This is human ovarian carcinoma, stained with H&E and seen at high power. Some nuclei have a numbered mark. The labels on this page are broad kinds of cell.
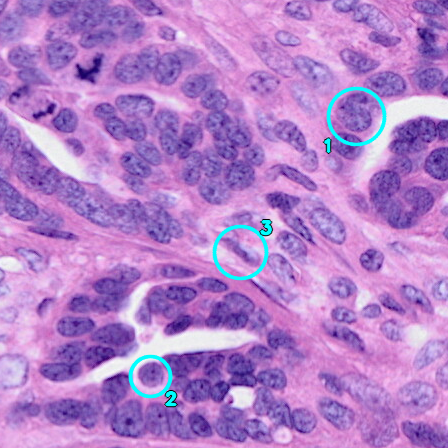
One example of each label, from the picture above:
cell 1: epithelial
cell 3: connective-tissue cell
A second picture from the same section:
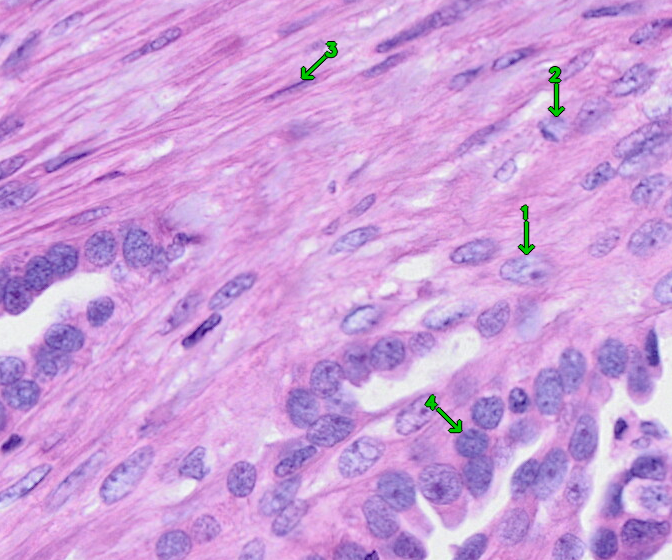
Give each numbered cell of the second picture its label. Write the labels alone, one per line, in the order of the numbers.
connective-tissue cell
connective-tissue cell
connective-tissue cell
epithelial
